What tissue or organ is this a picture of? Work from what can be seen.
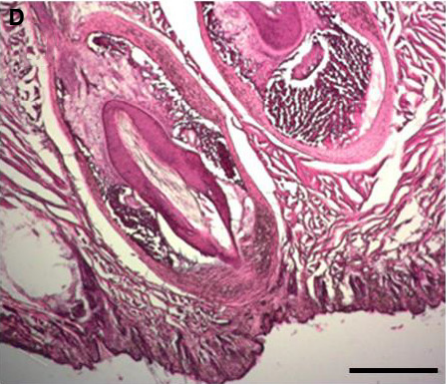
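Large elongated follicles each enclose a central hair shaft. Each follicle is wrapped in a thick capsule. A lacy, trabeculated space lies between the capsule and the inner follicle.
Conclusion: follicle‐sinus complexes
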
